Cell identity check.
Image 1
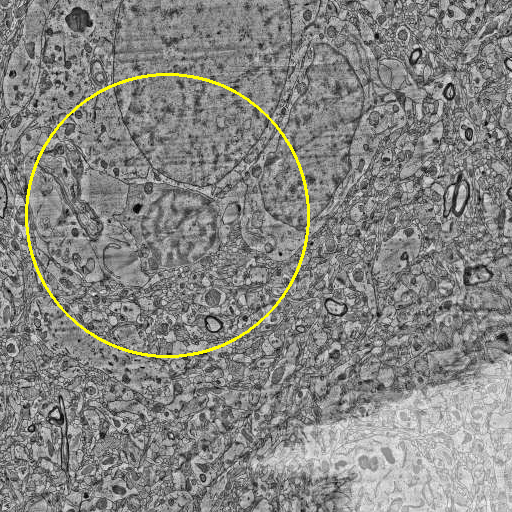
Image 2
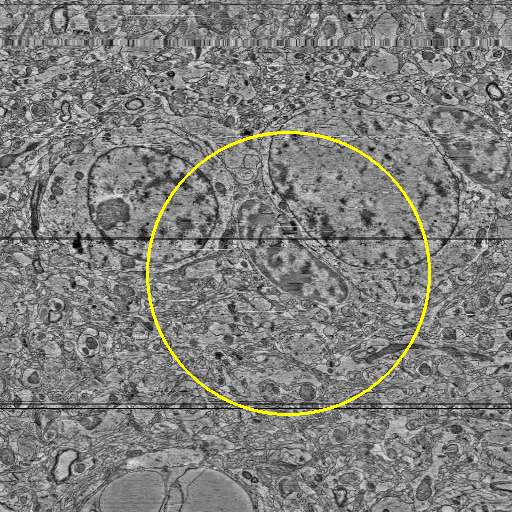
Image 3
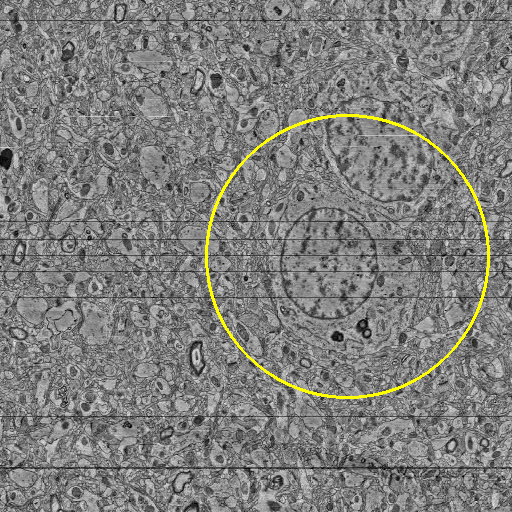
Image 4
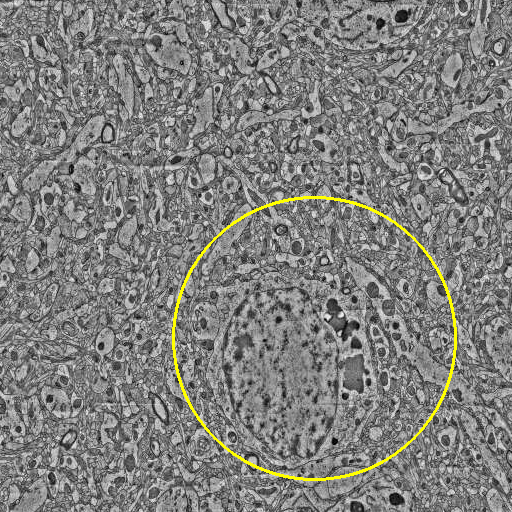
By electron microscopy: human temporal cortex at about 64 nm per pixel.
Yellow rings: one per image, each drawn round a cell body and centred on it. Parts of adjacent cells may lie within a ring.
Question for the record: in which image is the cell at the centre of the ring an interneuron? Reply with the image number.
4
